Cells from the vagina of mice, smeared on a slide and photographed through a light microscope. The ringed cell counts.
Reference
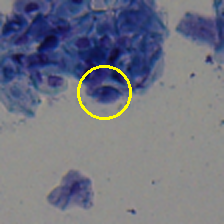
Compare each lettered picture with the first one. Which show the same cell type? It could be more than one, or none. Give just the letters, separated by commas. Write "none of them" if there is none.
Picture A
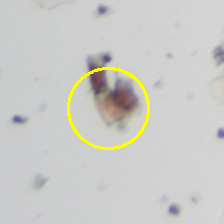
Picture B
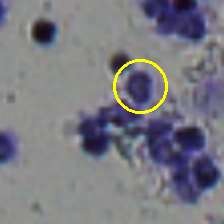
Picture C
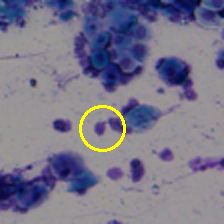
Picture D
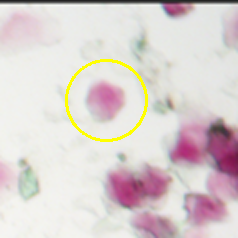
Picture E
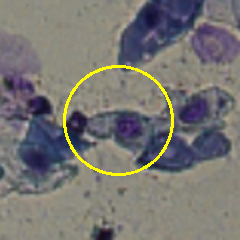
D, E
